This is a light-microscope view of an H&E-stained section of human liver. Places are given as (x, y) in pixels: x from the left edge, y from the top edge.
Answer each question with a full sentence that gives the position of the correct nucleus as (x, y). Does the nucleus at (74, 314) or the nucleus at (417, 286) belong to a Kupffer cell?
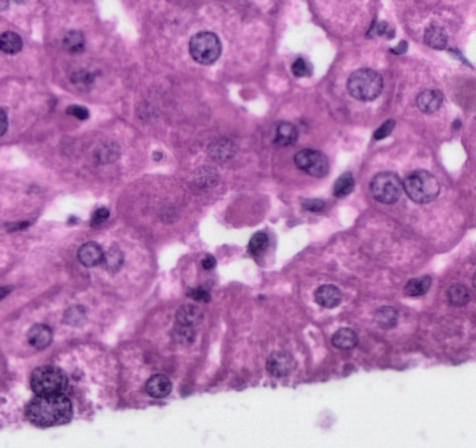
Of the two options, the nucleus at (417, 286) is the one that belongs to a Kupffer cell.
